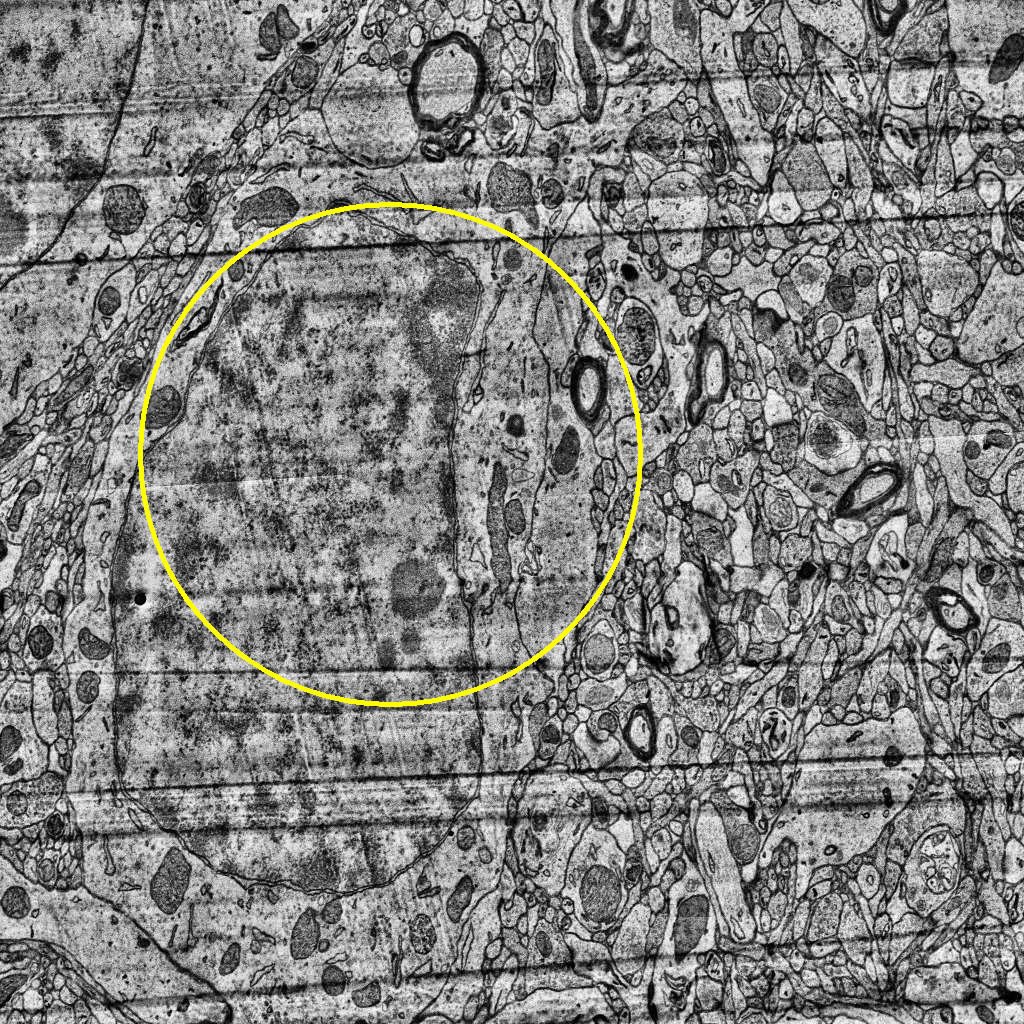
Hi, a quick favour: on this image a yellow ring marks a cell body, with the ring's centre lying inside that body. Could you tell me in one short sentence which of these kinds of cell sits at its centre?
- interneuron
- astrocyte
The ring's centre lies in an interneuron.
